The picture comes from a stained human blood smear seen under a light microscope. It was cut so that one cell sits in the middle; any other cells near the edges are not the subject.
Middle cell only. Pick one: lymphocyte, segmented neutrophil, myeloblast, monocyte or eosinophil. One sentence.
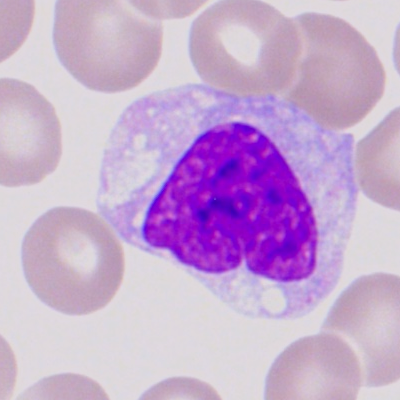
Looking at the middle of the crop, the cell there is a monocyte.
